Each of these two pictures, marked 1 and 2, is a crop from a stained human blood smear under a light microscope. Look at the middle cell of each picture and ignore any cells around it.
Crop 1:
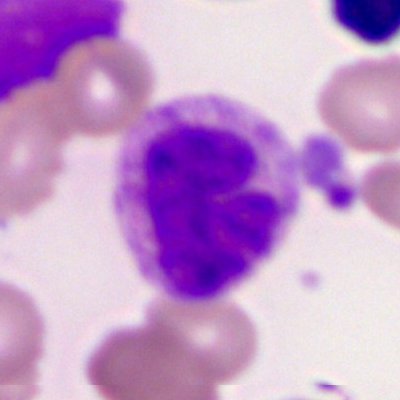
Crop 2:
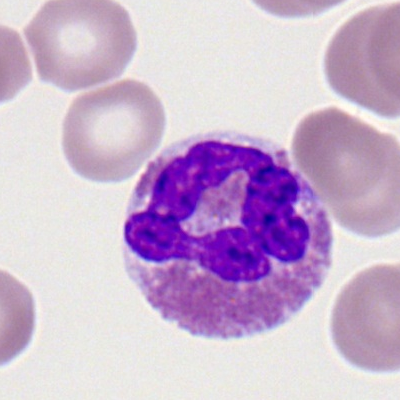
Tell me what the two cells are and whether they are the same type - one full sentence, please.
No, crop 1 carries a band neutrophil at its centre, and crop 2 carries an eosinophil.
